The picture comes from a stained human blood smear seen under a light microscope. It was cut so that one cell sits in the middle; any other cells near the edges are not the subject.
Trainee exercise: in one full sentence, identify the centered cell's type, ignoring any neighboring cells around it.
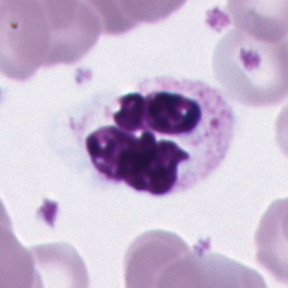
The cell around which this crop is centred is a segmented neutrophil.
